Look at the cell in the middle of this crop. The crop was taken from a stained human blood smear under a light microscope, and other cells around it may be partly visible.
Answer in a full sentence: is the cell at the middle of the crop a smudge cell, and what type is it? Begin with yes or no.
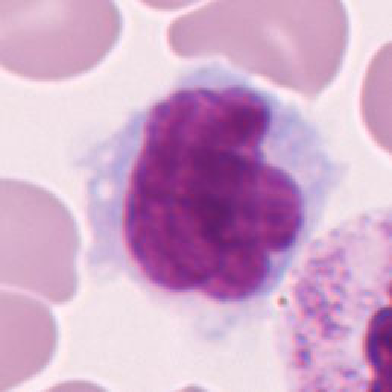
No, the cell at the center of this crop is a hairy cell instead of a smudge cell.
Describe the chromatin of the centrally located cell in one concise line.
The chromatin remains finely textured, with no coarse clumps to speak of.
